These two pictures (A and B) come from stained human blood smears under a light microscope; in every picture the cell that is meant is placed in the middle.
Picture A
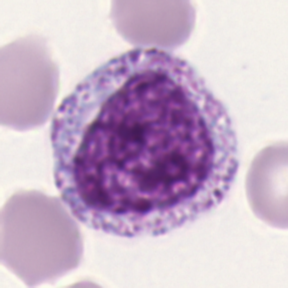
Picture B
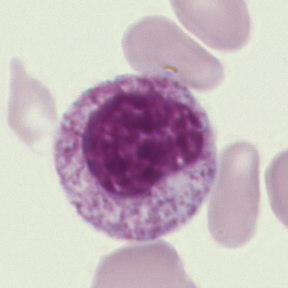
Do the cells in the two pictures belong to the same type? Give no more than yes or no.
yes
